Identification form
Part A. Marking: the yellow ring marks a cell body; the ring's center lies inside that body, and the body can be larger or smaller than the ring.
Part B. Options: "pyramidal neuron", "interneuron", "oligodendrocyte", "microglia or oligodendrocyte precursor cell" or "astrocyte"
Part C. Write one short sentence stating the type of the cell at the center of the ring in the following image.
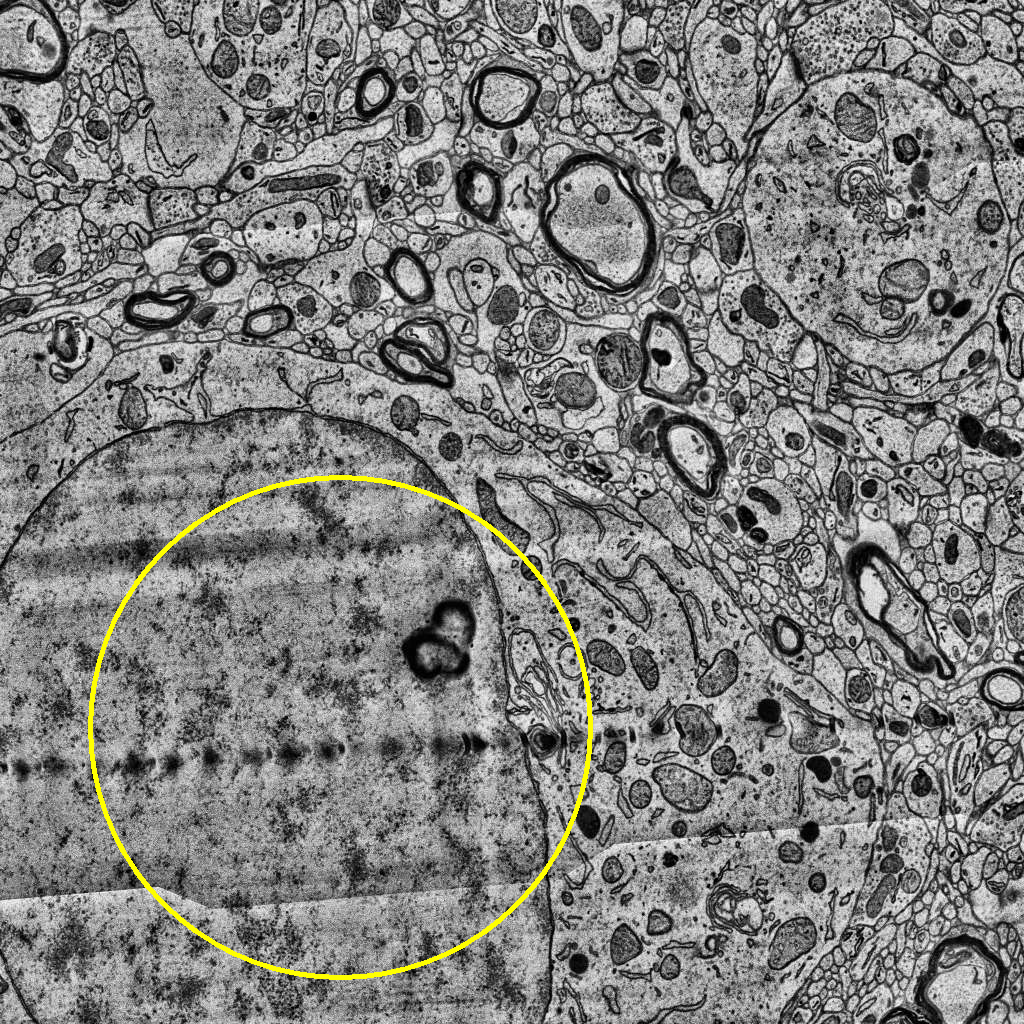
The center of the ring holds a pyramidal neuron.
